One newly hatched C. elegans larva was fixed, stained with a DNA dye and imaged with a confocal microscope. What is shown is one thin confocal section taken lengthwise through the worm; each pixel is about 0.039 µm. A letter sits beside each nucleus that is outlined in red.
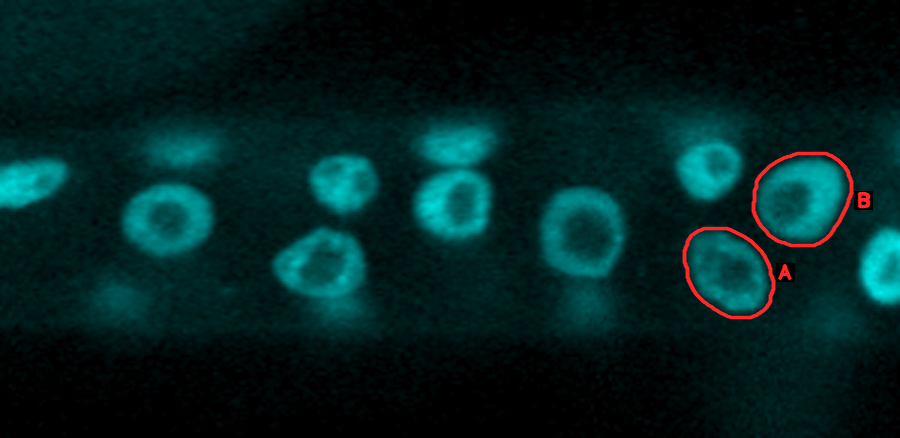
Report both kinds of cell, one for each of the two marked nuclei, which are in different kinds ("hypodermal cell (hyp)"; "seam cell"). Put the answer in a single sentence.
A belongs to a hypodermal cell (hyp) and B to a seam cell.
